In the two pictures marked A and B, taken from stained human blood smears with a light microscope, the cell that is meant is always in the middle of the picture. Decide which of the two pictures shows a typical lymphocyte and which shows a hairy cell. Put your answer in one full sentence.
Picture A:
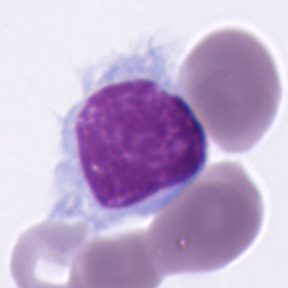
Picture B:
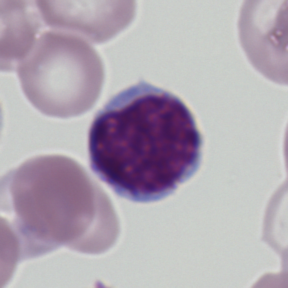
Picture A shows a hairy cell and picture B shows a typical lymphocyte.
